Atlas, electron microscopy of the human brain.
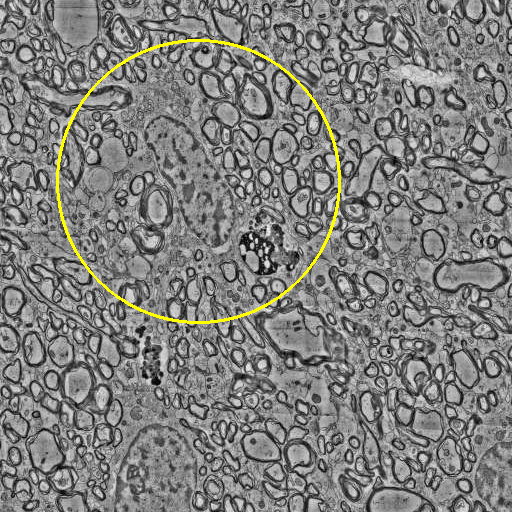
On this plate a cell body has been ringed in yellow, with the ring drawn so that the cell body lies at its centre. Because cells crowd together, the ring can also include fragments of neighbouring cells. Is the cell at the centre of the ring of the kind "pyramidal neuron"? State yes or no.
No, it is of another kind.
